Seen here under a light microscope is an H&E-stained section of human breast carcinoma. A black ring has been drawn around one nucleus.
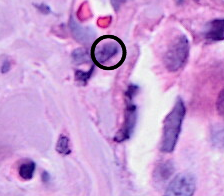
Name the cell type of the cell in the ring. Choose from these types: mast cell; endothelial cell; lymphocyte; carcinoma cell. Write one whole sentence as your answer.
Among the cells in this section, the cell in the ring is an endothelial cell.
